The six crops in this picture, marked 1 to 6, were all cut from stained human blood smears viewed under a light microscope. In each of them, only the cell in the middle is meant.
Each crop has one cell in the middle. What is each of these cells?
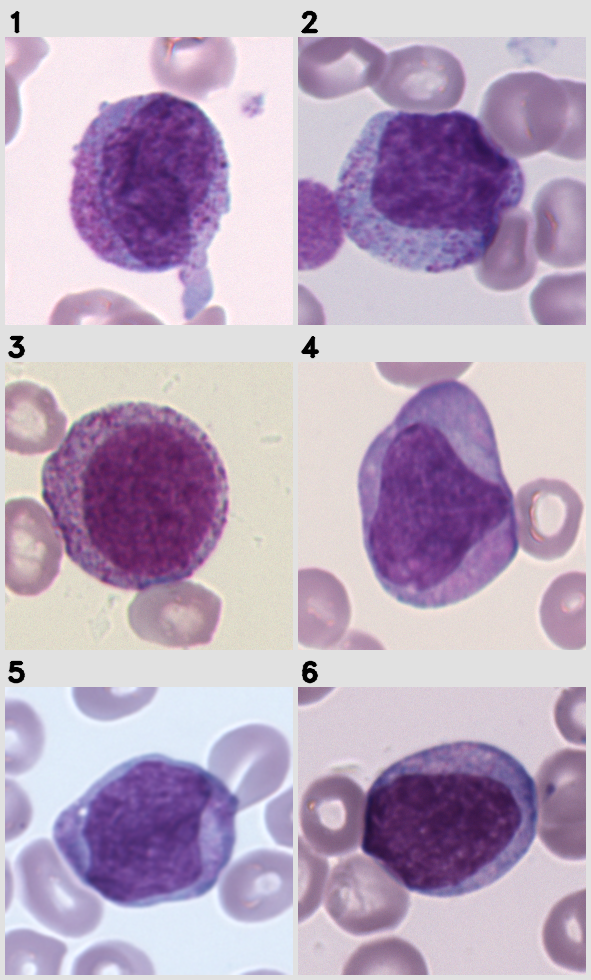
1: atypical promyelocyte
2: promyelocyte
3: promyelocyte
4: atypical promyelocyte
5: atypical promyelocyte
6: promyelocyte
